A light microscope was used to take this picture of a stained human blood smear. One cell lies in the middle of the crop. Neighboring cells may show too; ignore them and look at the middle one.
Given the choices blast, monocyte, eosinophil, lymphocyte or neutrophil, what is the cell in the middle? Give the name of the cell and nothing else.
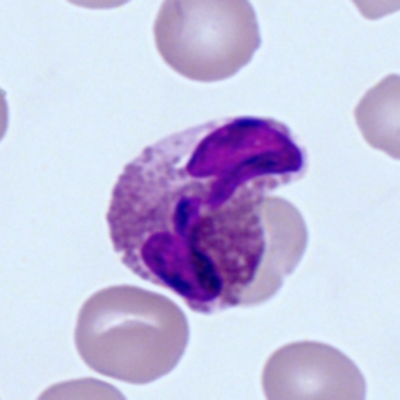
eosinophil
